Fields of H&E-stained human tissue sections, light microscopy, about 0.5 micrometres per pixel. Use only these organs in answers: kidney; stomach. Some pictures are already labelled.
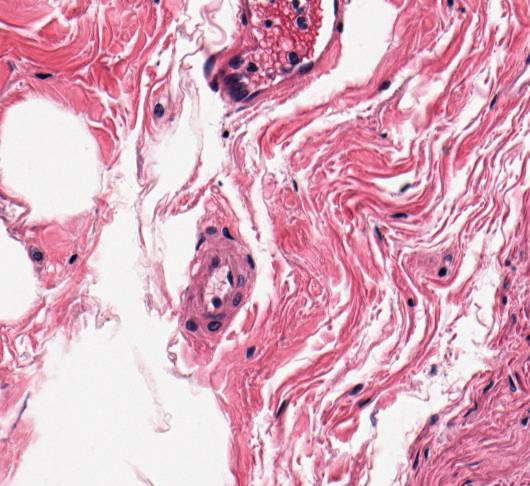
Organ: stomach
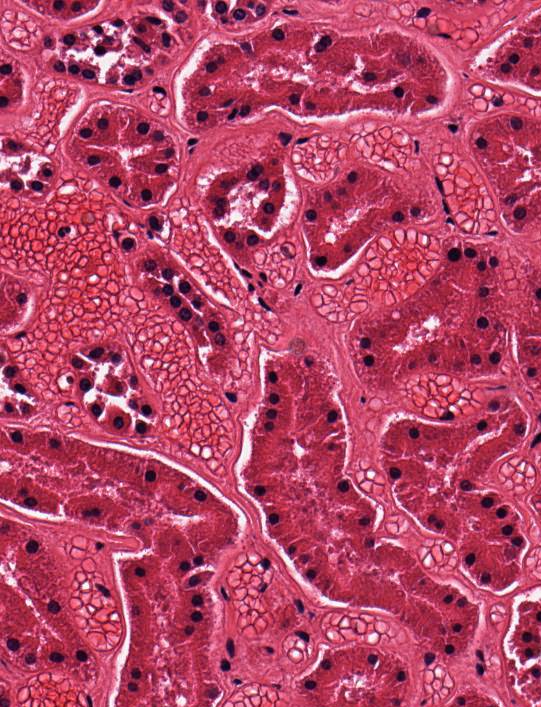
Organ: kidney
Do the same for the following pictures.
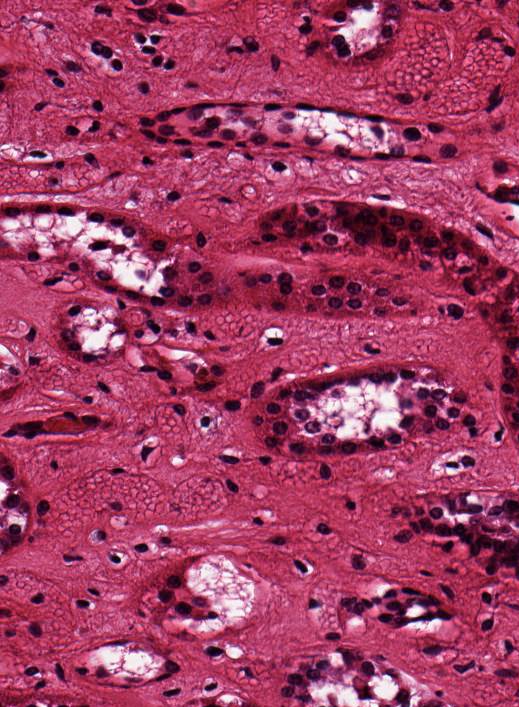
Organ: kidney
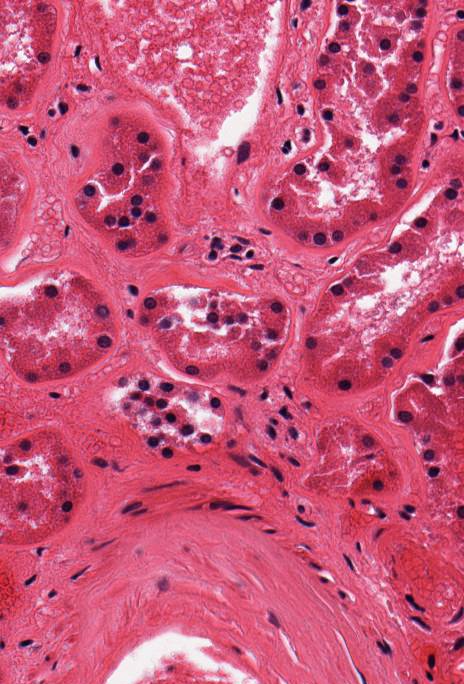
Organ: kidney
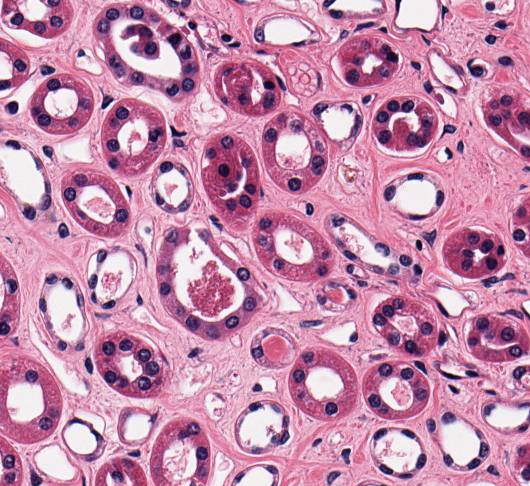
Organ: kidney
